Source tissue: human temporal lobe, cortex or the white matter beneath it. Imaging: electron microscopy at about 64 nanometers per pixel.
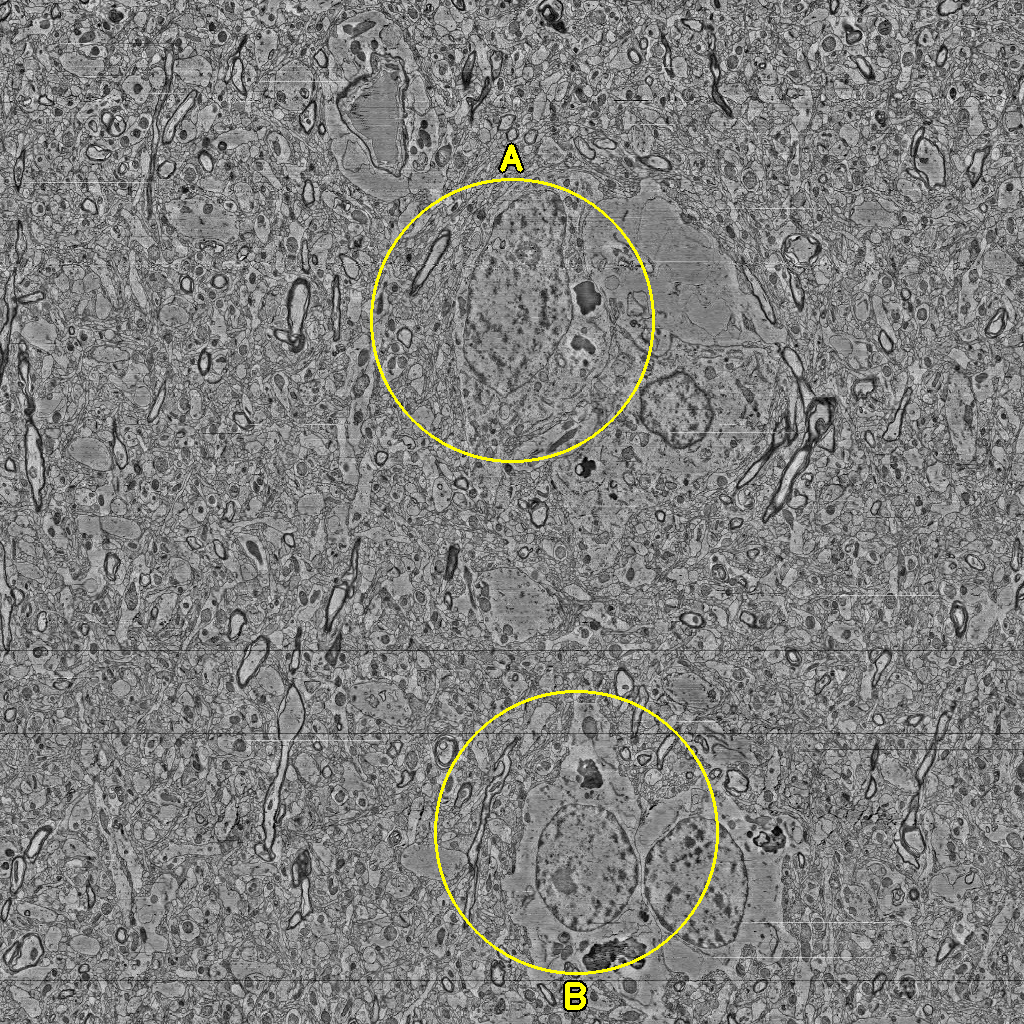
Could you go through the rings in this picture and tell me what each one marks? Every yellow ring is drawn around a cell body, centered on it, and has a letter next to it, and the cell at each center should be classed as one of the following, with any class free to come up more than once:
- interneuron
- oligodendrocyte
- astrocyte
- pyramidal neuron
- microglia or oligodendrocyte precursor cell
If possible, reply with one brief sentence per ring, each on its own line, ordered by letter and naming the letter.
The cell centered in ring A is an interneuron.
The cell centered in ring B is an astrocyte.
